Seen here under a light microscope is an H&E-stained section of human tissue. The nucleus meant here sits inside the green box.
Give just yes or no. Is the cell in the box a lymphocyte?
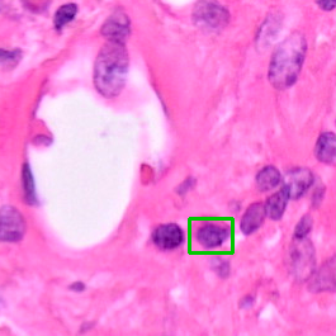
no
